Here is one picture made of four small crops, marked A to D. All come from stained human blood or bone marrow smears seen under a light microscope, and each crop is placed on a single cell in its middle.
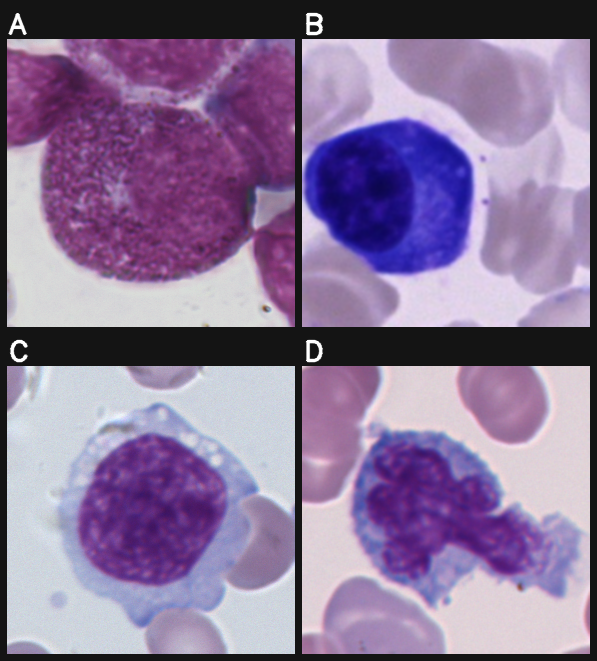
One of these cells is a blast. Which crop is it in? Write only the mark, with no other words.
C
